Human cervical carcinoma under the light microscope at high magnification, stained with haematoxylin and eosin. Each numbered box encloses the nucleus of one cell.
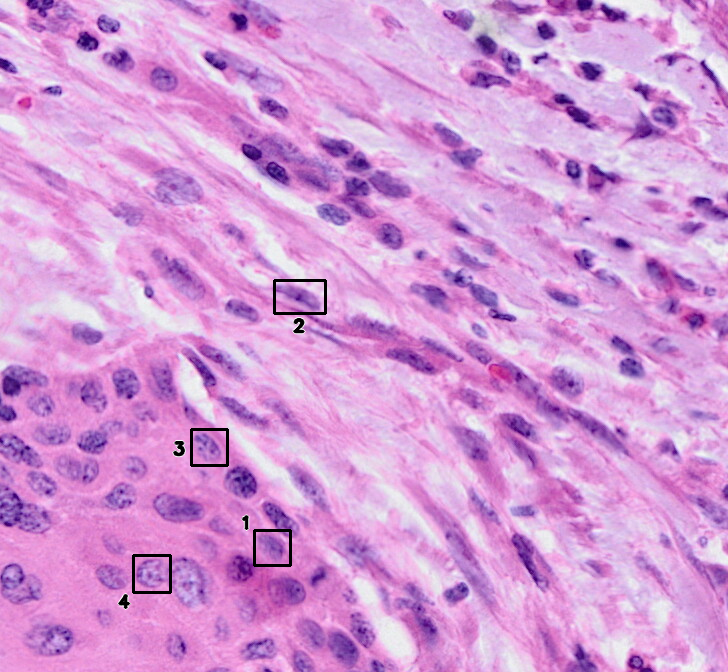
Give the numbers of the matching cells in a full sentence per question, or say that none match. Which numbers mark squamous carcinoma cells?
The cells assigned the numbers 1, 3 and 4 are squamous carcinoma cells.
